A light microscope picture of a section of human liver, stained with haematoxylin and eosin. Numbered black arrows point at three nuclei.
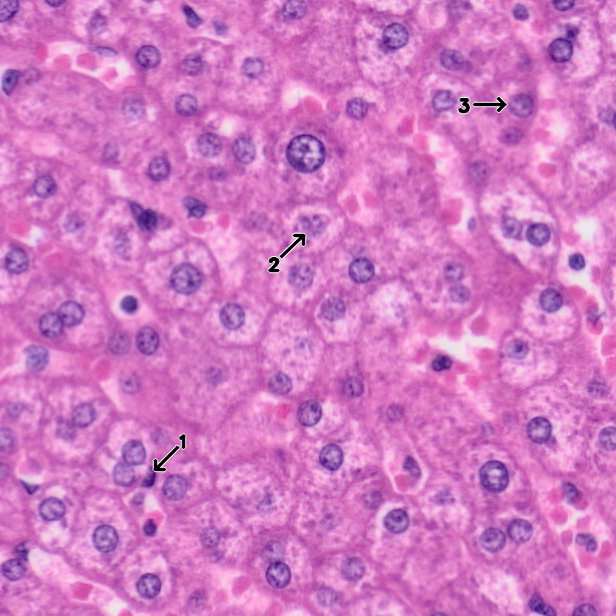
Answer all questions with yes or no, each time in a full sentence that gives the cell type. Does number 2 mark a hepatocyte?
Yes, the cell denoted by 2 is a hepatocyte.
